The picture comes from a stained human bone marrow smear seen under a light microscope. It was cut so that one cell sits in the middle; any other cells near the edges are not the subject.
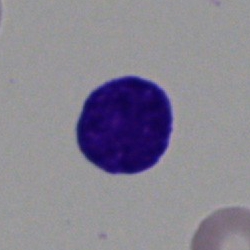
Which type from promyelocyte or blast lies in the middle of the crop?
blast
